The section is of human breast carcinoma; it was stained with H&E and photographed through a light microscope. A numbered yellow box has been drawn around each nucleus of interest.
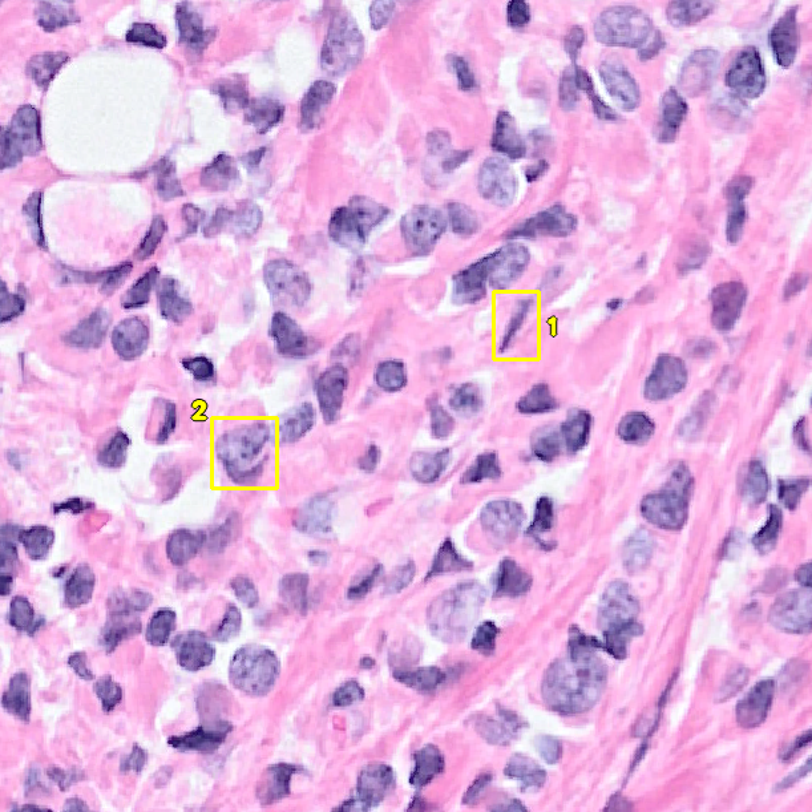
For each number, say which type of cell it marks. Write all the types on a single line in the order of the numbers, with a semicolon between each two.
fibroblast; carcinoma cell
